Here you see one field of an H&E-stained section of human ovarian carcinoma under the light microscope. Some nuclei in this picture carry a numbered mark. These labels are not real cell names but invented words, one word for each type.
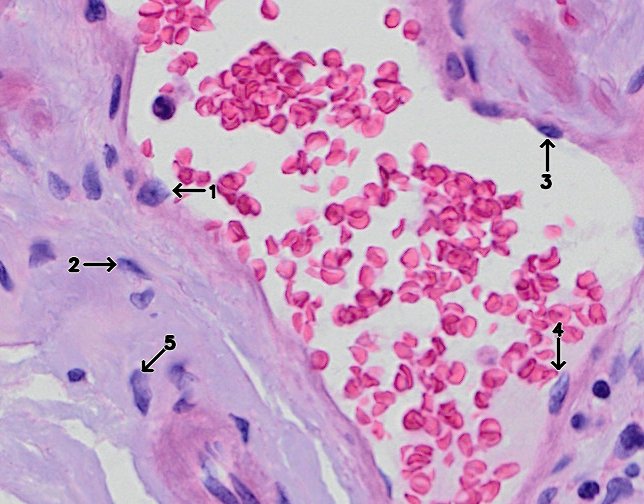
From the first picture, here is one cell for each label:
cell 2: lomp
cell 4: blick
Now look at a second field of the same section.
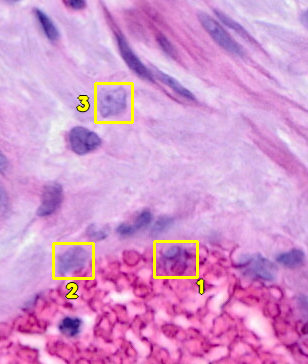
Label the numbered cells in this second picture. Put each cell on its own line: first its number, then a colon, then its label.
1: blick
2: blick
3: lomp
